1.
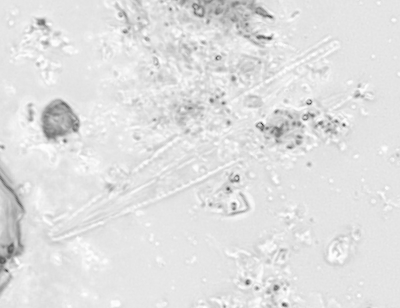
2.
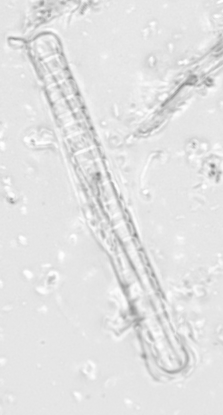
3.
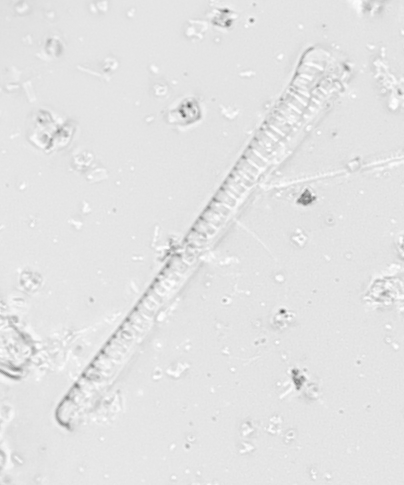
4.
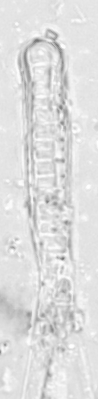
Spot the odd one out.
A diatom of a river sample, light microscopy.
Picture 1 (Nitzschia among Diatoma).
